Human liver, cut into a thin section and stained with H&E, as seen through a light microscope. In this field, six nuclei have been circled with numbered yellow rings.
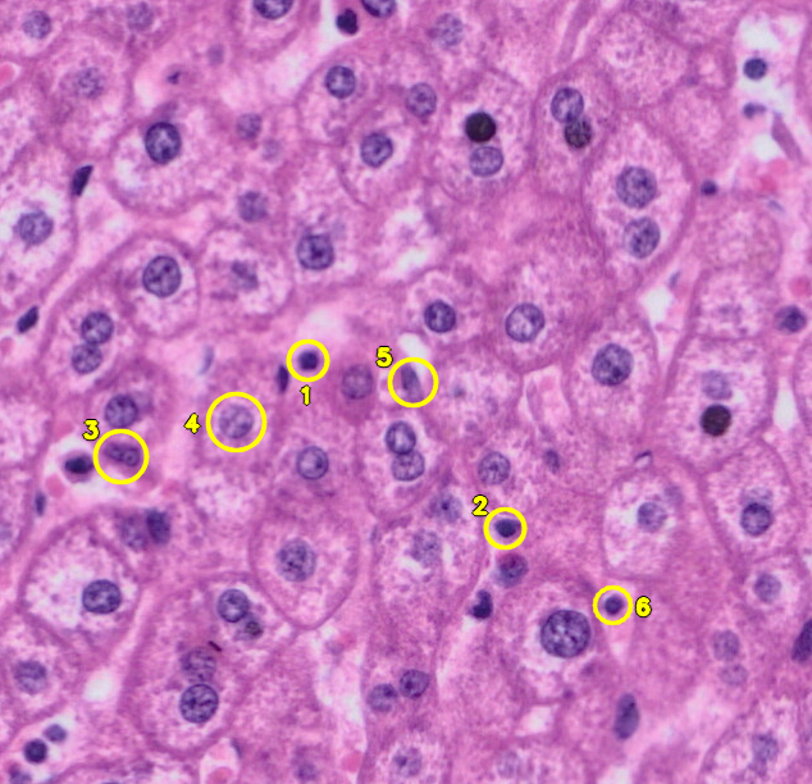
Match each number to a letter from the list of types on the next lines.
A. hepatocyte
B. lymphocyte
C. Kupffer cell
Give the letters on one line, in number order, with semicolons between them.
B; B; C; A; C; B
